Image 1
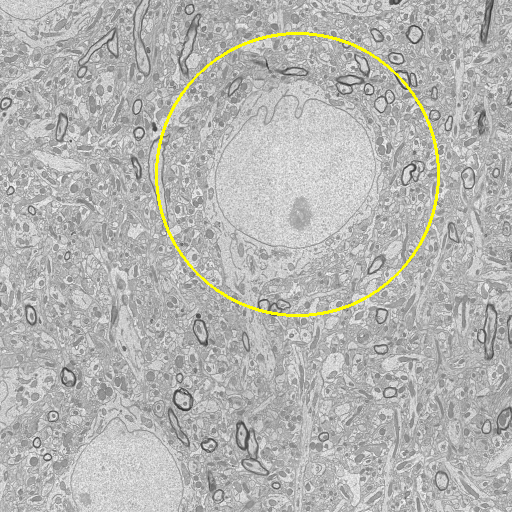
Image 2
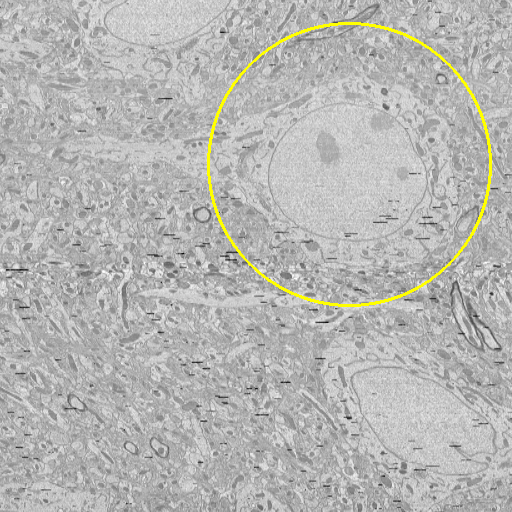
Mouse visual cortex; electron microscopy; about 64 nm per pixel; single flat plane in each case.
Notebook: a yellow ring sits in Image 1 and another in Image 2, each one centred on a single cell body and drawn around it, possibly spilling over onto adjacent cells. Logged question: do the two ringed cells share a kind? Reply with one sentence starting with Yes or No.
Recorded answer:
Yes, both centre cells inside the rings of Image 1 and Image 2 share one kind.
